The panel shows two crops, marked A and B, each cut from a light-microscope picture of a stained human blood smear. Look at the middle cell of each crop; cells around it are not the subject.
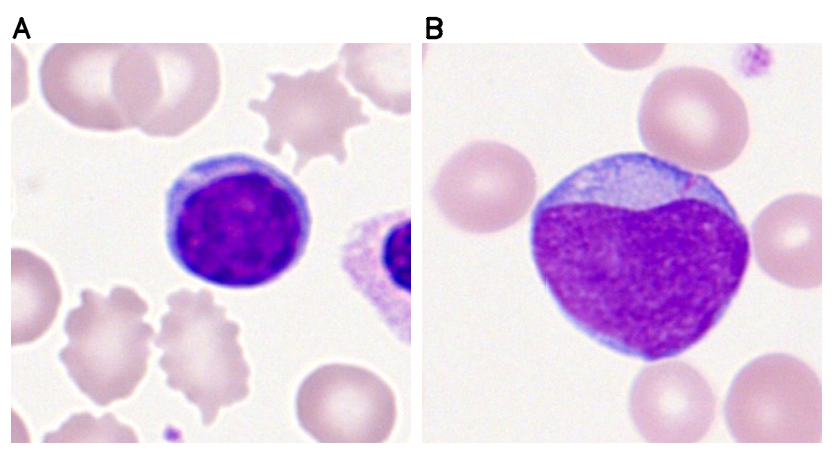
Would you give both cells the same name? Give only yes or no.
no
